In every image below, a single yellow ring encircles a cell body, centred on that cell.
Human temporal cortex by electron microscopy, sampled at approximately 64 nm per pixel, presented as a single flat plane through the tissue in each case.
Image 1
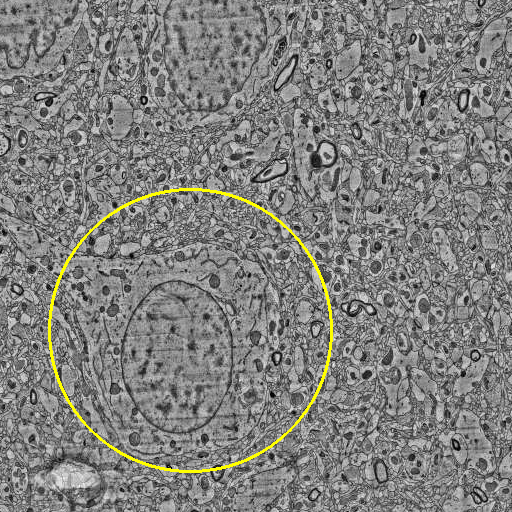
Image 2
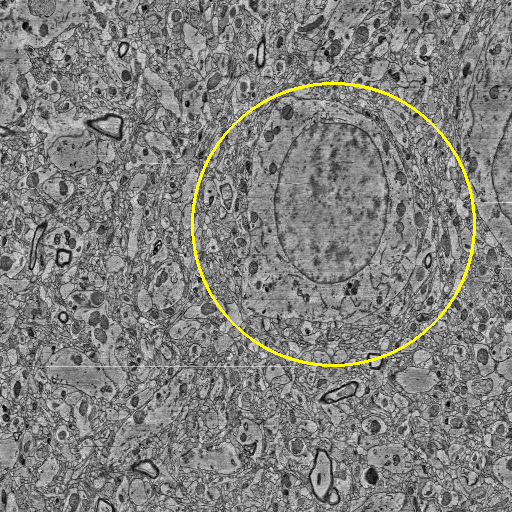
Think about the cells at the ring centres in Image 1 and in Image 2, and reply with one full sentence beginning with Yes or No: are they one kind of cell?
Yes, the cells centred in the rings of Image 1 and Image 2 are one kind of cell.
